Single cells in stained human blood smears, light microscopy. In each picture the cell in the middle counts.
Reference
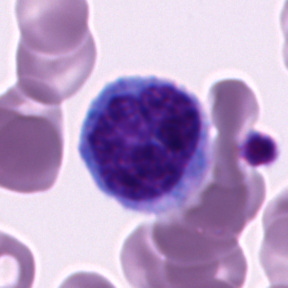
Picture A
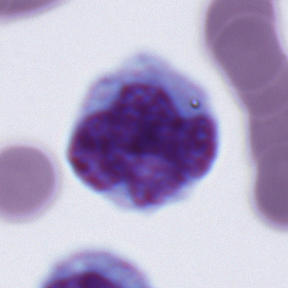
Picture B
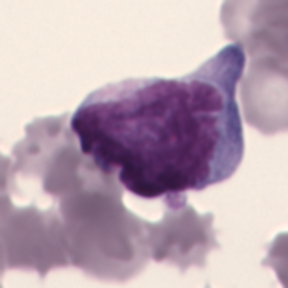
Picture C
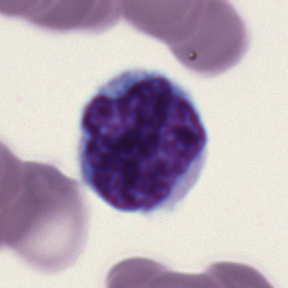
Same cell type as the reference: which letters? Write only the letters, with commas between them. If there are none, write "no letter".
A, C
